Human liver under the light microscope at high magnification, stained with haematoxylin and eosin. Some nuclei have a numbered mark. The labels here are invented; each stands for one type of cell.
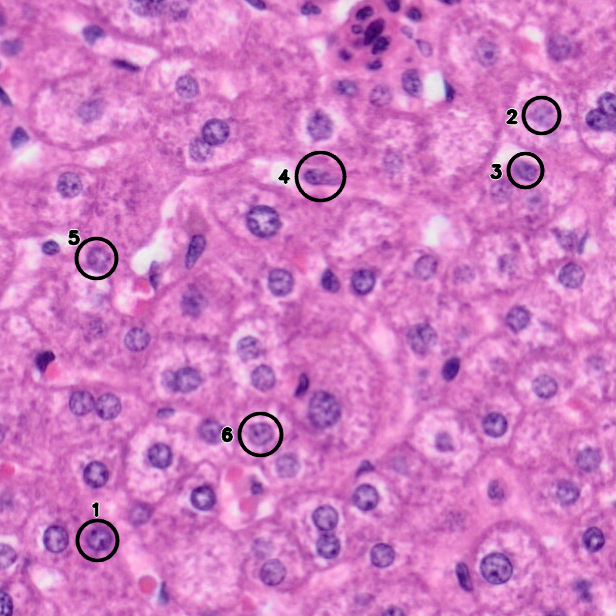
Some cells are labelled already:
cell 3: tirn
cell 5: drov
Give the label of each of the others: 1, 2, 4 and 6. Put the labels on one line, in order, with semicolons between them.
drov; drov; tirn; drov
